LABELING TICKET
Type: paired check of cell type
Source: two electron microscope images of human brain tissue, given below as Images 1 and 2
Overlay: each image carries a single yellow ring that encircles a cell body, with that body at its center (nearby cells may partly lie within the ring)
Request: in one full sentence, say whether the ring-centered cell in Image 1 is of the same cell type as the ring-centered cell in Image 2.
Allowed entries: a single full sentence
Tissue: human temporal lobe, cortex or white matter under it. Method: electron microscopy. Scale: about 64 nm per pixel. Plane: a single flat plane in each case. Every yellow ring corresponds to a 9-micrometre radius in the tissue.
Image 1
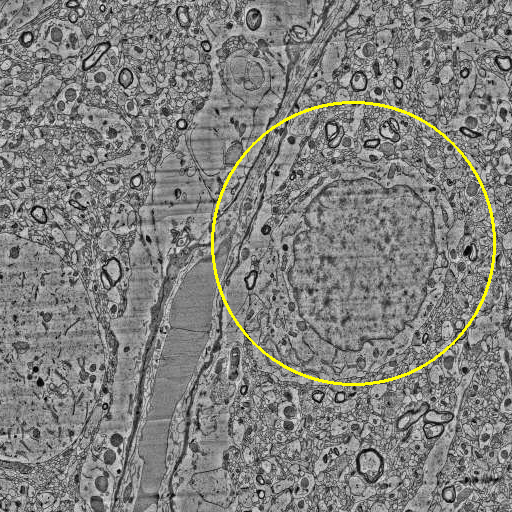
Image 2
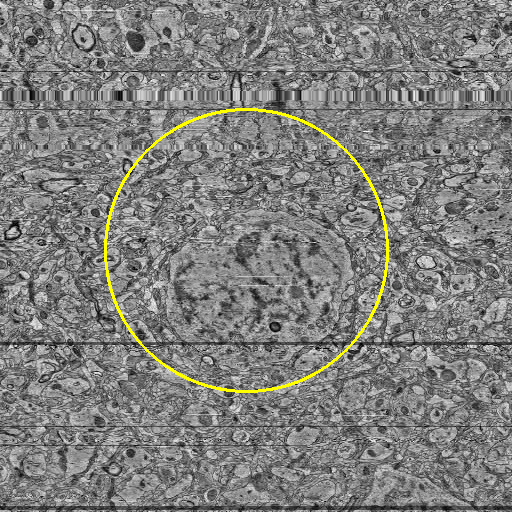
Yes, the cells centered in the rings of Image 1 and Image 2 share one type.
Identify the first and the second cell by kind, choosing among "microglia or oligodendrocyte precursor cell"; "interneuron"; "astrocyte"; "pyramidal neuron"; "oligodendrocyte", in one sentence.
In both pictures the ring is centred on an interneuron.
